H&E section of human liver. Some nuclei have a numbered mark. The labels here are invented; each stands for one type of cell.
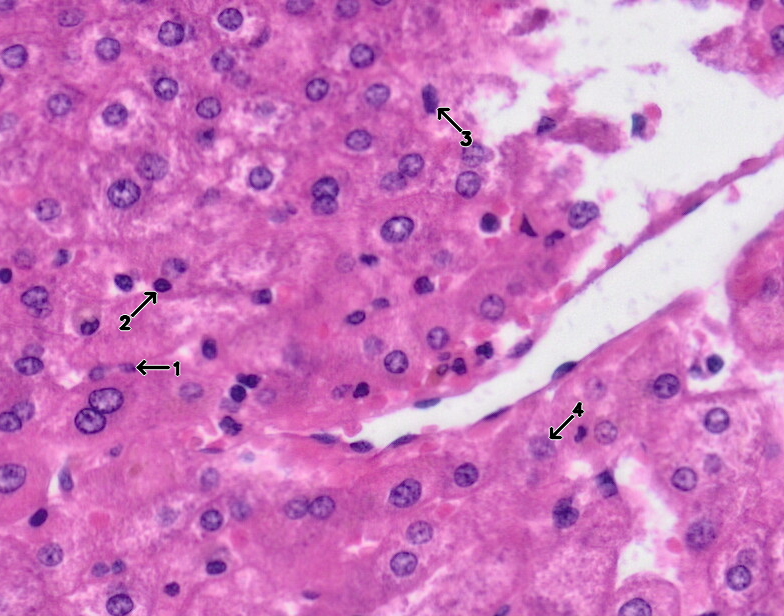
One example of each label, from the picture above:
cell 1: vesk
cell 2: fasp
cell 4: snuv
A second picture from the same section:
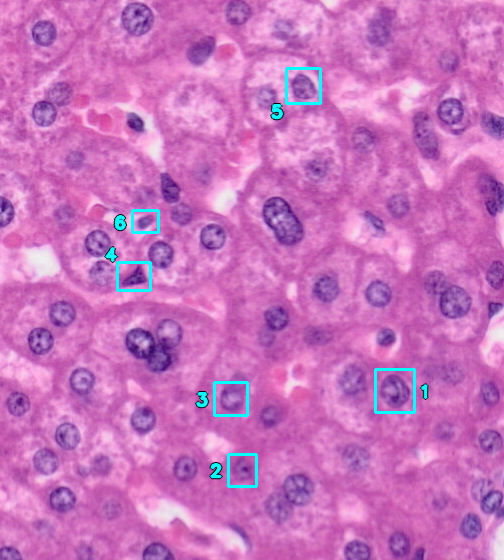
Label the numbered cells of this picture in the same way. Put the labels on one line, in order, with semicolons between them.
snuv; snuv; snuv; vesk; snuv; fasp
